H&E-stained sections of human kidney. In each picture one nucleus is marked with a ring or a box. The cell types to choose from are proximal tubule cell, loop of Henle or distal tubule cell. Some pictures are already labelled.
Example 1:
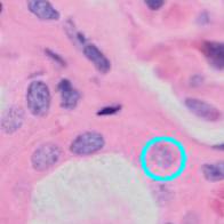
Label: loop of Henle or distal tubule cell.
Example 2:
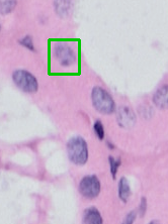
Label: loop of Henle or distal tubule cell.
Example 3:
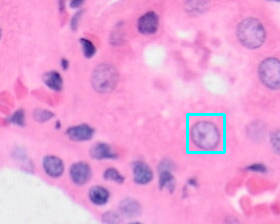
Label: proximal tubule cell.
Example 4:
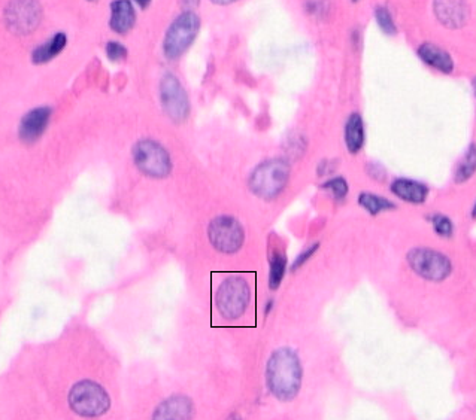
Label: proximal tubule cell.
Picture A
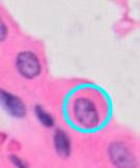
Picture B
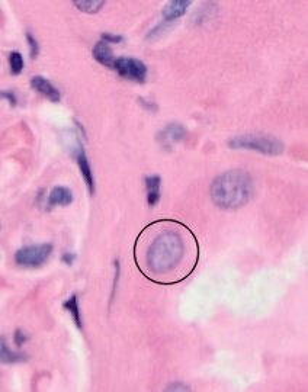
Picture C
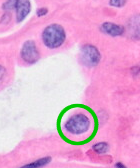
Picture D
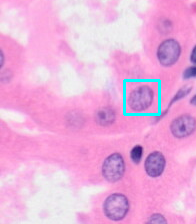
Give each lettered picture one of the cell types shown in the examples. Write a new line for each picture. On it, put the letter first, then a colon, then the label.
A: proximal tubule cell.
B: proximal tubule cell.
C: loop of Henle or distal tubule cell.
D: proximal tubule cell.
